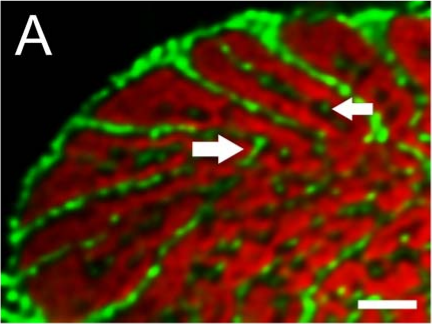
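Part of a transverse section through a cardiac myocyte shows red bundles of contractile machinery separated by thin green lines. The cell surface at the top left is outlined by a bright, beaded green band. The red bundles are elongated and lie side by side, fanning out from the centre toward the surface. Small isolated green dots lie in gaps within the red bundles, and in places one green line bends to meet a neighbouring one.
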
